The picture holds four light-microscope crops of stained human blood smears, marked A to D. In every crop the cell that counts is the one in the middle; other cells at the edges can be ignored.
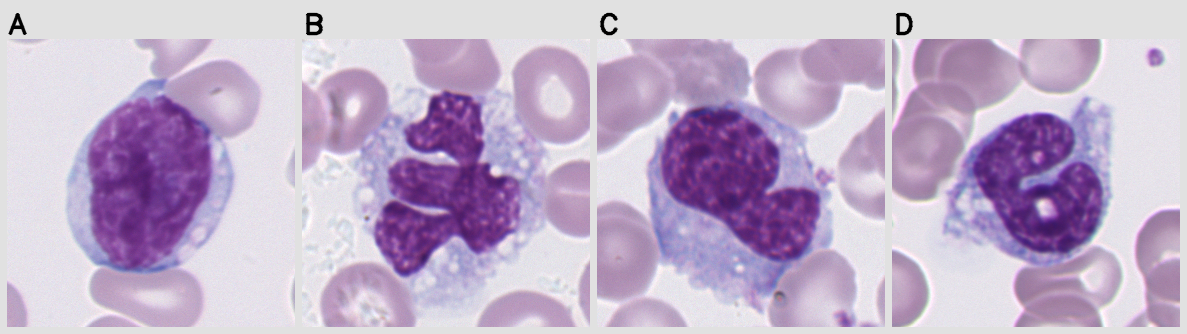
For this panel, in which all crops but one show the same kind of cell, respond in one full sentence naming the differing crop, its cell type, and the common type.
Only one crop differs, namely crop A, which is a myeloblast; the others show monocytes.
